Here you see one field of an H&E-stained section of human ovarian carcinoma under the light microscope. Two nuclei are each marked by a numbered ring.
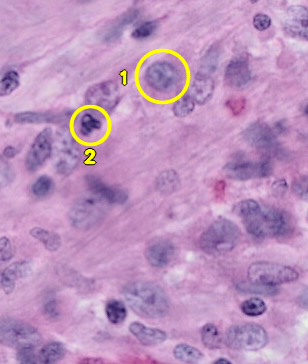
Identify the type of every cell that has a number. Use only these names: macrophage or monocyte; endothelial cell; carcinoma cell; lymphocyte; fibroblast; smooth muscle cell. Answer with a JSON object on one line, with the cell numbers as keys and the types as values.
{"1": "fibroblast", "2": "lymphocyte"}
